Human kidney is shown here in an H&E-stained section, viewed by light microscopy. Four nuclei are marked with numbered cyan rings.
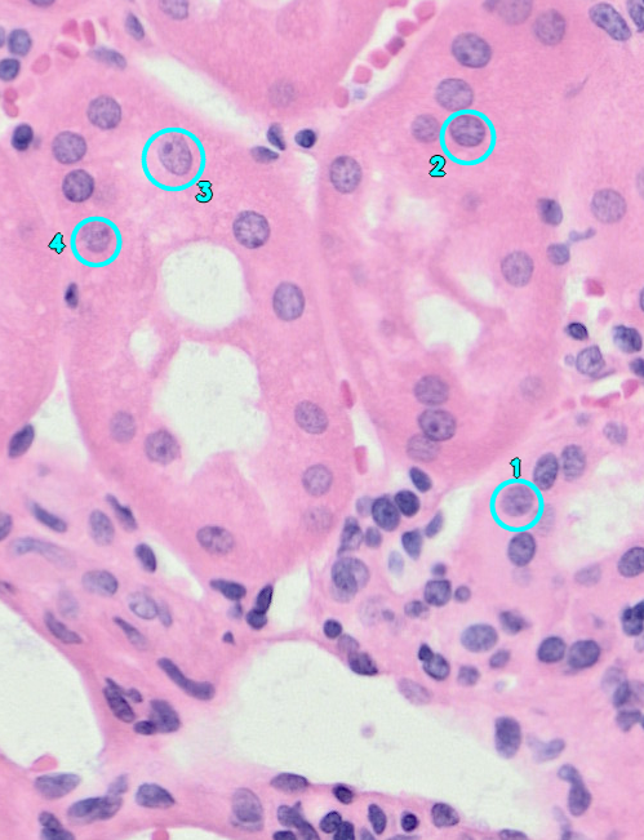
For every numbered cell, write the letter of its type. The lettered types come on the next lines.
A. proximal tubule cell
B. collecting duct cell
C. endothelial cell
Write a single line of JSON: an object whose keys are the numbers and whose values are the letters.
{"1": "B", "2": "A", "3": "A", "4": "A"}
